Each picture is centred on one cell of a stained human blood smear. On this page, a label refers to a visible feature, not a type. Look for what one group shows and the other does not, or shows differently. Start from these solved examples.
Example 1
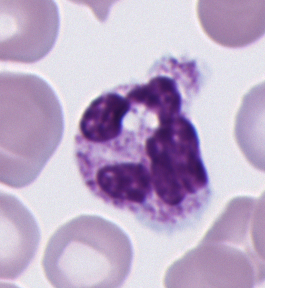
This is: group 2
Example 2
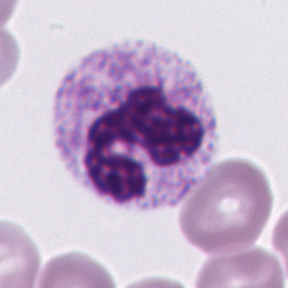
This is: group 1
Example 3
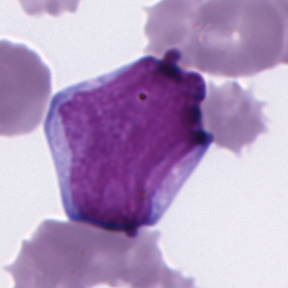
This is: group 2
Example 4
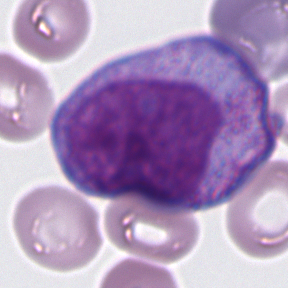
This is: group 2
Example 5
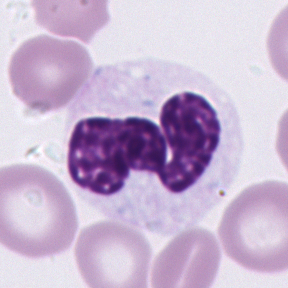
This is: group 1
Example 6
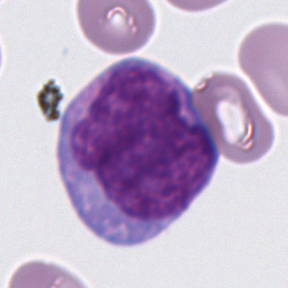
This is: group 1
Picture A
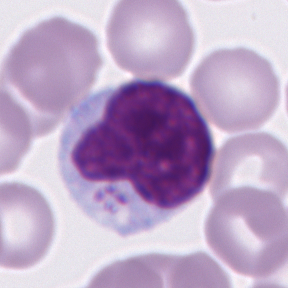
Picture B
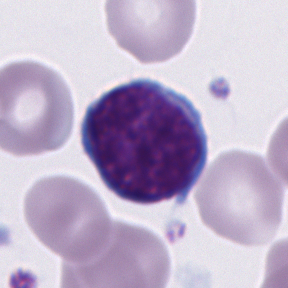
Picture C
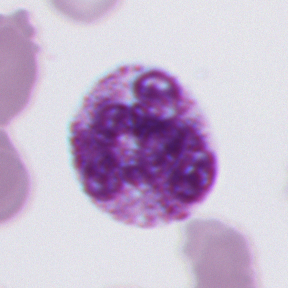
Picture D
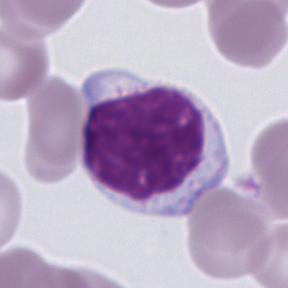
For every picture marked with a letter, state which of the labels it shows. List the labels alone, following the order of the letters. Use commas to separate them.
group 1, group 1, group 1, group 2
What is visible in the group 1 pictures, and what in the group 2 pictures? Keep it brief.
In group 1: smooth outline. In group 2: ragged outline or projections.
